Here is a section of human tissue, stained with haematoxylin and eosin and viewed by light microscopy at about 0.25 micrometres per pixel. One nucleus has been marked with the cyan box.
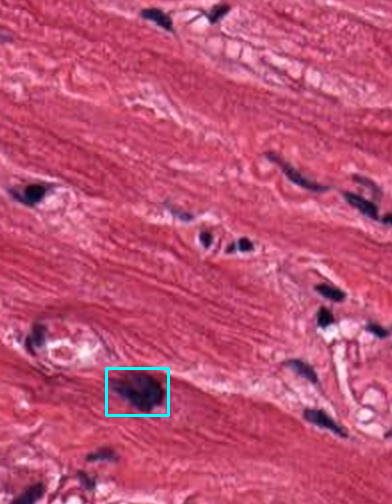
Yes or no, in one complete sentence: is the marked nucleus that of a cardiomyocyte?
Yes, a cardiomyocyte is the cell that the marked nucleus belongs to.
